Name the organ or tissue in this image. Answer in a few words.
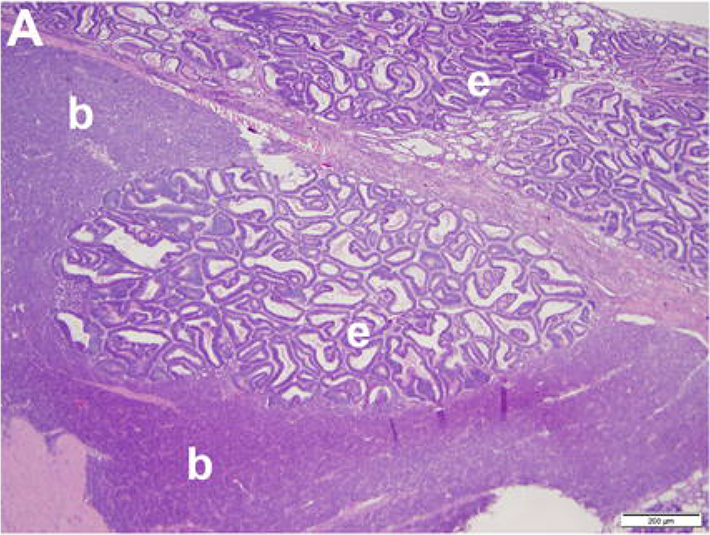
Wilms tumor.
